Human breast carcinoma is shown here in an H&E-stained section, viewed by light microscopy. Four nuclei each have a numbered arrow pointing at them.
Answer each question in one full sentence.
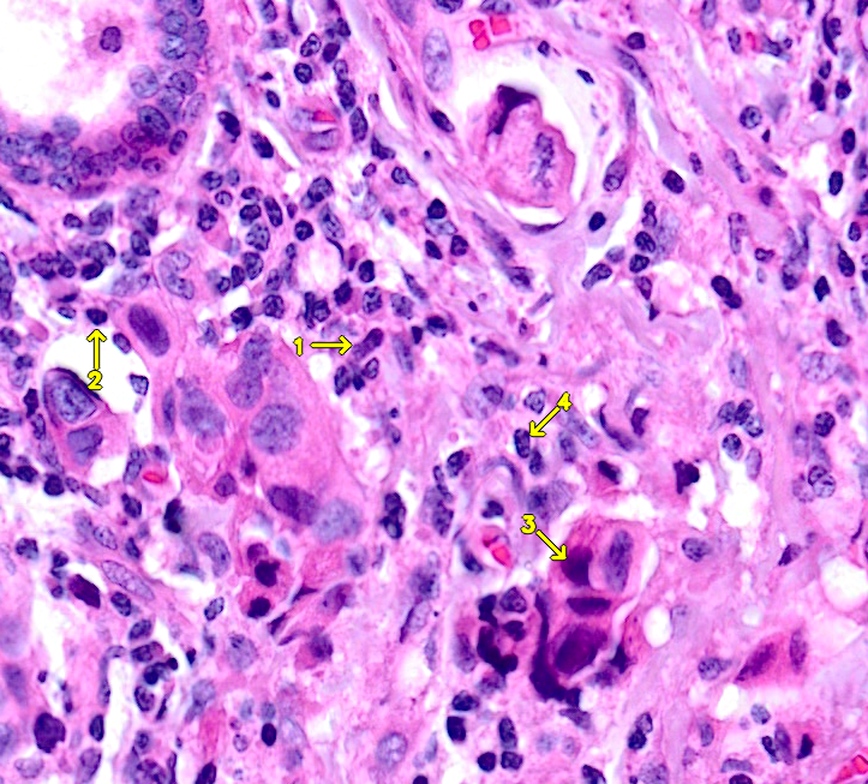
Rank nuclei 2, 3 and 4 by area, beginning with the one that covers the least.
The order from the smallest nucleus to the largest is 2, 4, 3.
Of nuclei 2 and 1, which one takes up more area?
Of the two, number 1 is bigger and takes up about 1.5 times the area of number 2.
